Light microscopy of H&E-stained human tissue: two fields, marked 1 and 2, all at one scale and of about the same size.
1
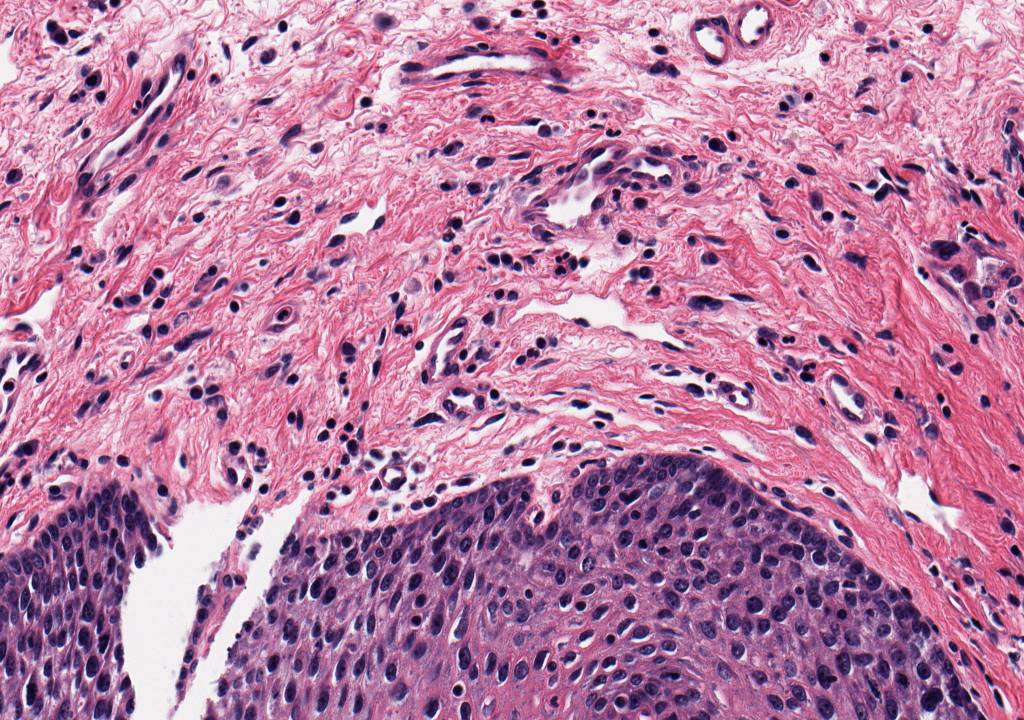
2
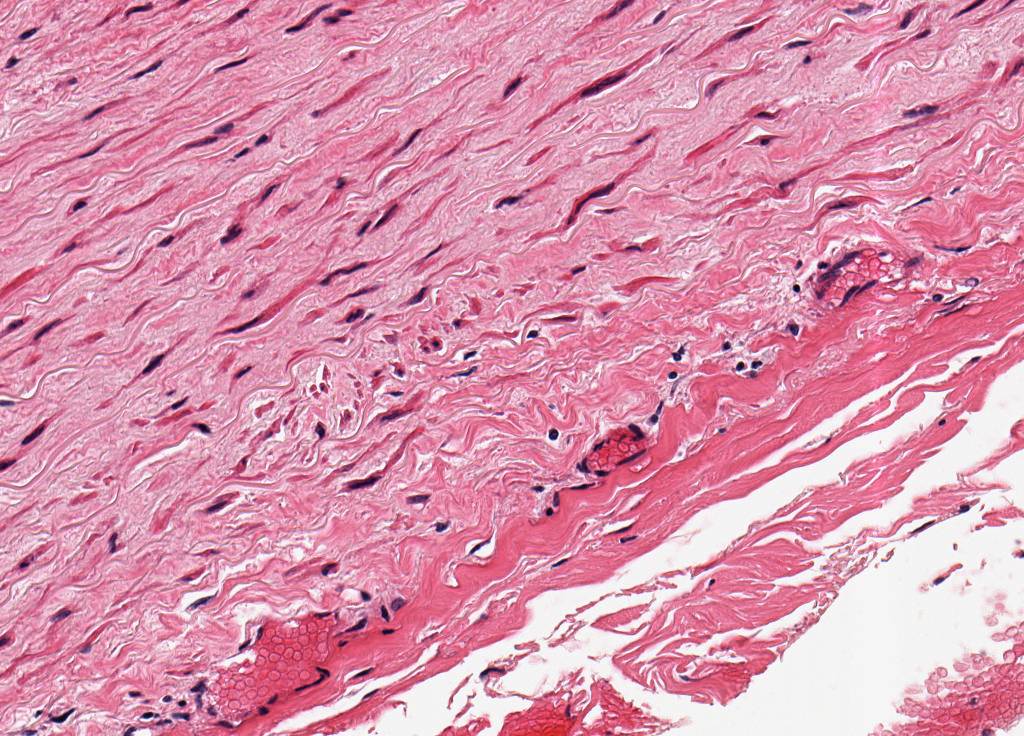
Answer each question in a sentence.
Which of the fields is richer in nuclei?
Field 1 holds more nuclei than field 2.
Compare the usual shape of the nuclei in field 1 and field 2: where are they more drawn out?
Longer, more slender nuclei lie in field 2.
